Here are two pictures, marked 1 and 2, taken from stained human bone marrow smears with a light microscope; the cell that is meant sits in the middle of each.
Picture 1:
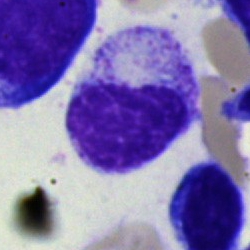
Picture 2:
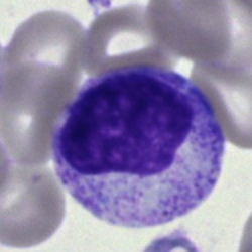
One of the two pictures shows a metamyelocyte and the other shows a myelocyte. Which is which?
1: metamyelocyte
2: myelocyte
